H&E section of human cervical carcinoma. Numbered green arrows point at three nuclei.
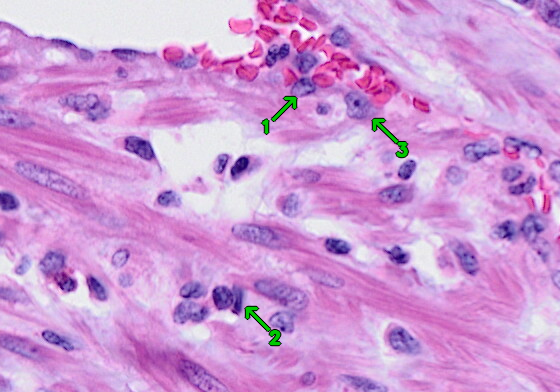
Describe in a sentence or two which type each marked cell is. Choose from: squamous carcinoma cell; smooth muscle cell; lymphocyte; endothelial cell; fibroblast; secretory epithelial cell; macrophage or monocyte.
Cells 1 and 3 are endothelial cells. Cell 2 is a lymphocyte.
